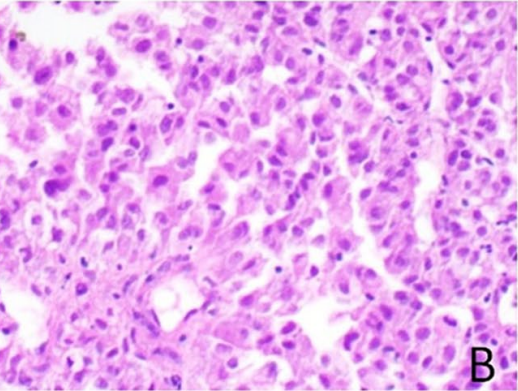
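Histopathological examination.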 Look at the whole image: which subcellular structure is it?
Granular eosinophilic cytoplasm.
